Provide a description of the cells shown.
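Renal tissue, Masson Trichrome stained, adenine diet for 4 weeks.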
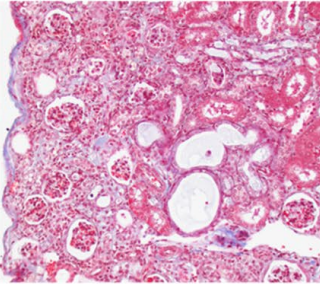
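This is kidney cortex with atrophic tubules: many are dilated, with wide empty lumens lined by thin, flattened epithelium. Between them the interstitium is widened and crowded with small nuclei of an inflammatory infiltrate, pushing the tubules and glomeruli apart, and bluish strands appear near the surface.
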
